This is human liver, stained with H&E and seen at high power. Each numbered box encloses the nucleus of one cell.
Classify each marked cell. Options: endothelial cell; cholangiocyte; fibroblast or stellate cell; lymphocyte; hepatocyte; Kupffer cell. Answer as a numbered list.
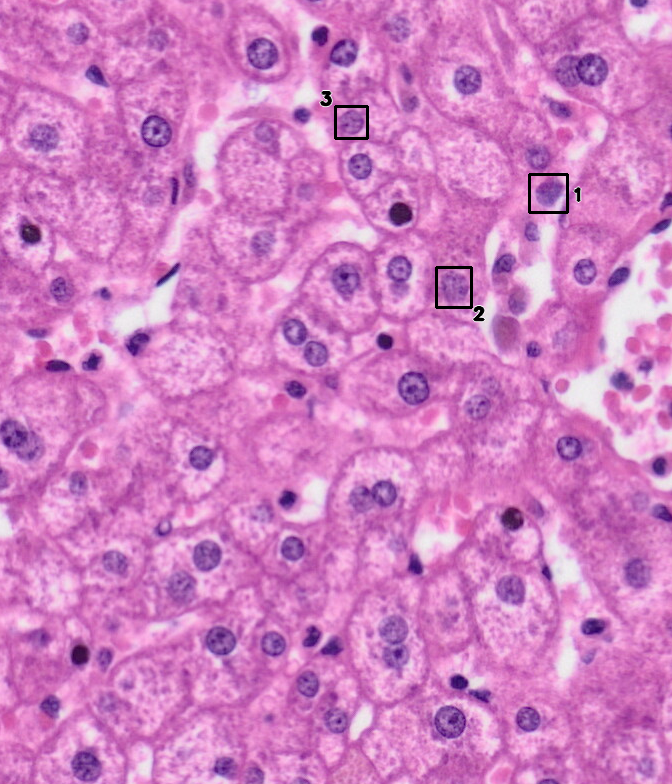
1. endothelial cell
2. hepatocyte
3. hepatocyte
